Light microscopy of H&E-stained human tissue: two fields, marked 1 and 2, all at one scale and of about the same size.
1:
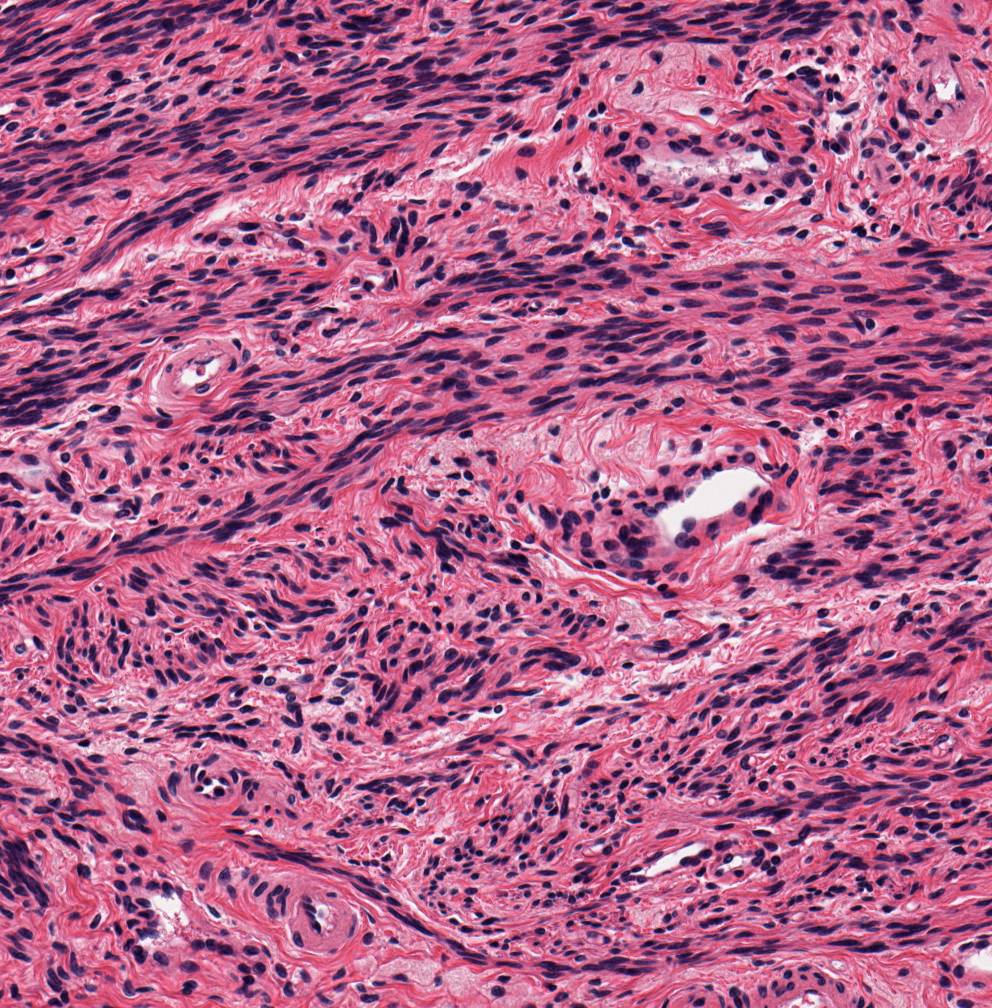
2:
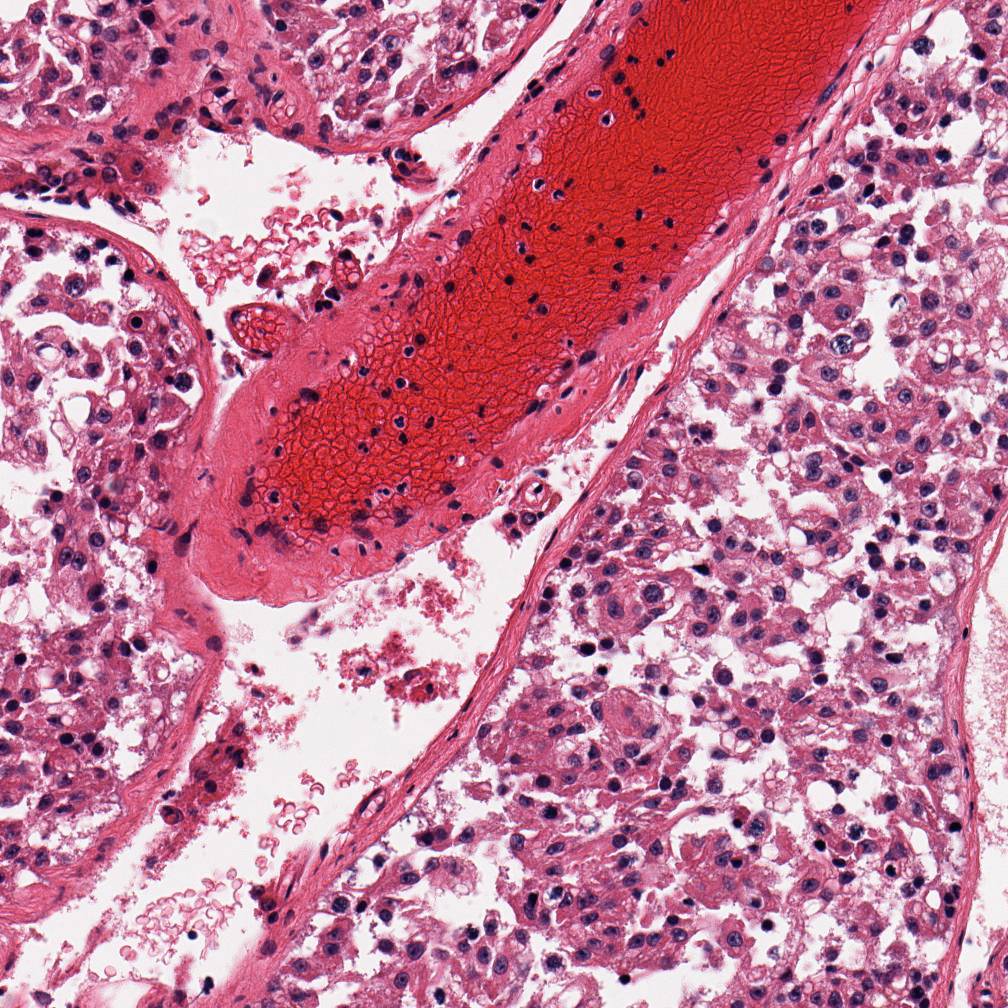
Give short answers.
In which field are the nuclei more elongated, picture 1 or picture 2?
1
